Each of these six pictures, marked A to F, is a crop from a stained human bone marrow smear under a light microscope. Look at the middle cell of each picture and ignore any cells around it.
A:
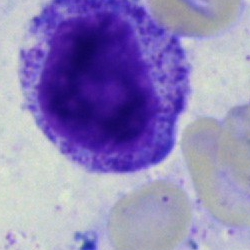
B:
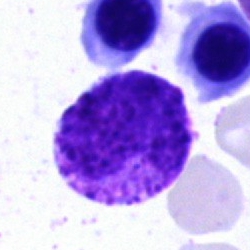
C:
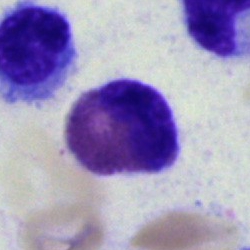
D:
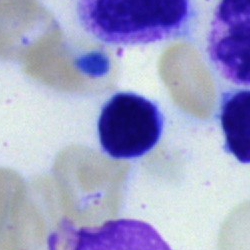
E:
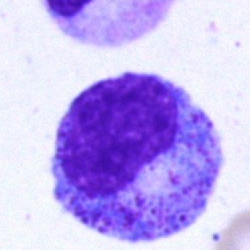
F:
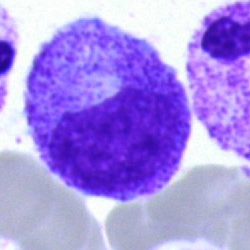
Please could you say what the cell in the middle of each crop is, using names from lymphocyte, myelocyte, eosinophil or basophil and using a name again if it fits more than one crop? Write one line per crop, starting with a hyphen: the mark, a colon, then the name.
- A: myelocyte
- B: basophil
- C: basophil
- D: lymphocyte
- E: myelocyte
- F: myelocyte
